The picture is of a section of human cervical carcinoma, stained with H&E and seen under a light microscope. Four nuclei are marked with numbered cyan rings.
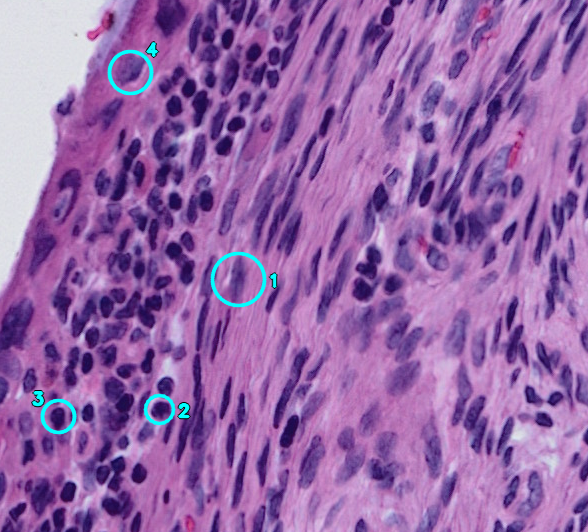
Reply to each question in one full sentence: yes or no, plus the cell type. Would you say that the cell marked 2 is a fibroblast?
No, number 2 is not a fibroblast but a lymphocyte.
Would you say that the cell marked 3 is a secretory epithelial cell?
No, cell 3 is not a secretory epithelial cell, but is instead a lymphocyte.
